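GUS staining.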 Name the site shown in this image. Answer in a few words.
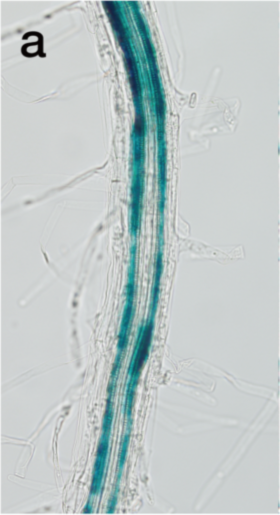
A: Mature root zone.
